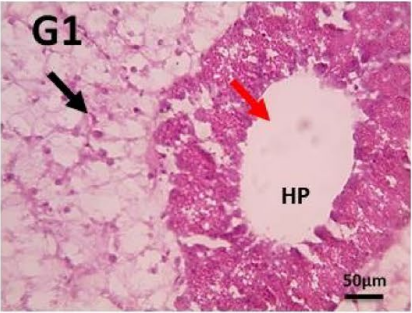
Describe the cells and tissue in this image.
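This is liver tissue in which pale hepatocytes with clear, vacuolated cytoplasm and small dark nuclei form a polygonal network. Beside them lies a thick ring of deep pink-staining hepatopancreas tissue surrounding a large empty blood vessel lumen.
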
